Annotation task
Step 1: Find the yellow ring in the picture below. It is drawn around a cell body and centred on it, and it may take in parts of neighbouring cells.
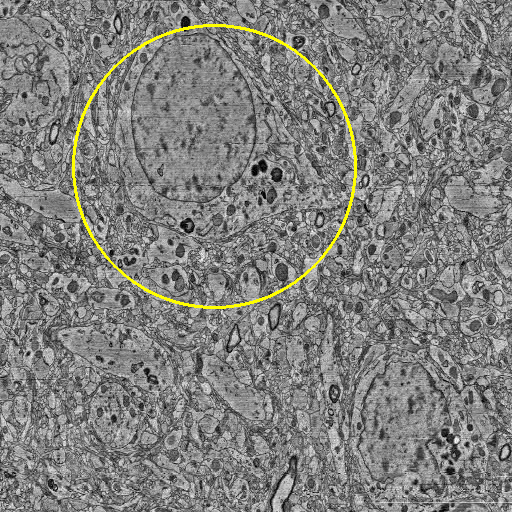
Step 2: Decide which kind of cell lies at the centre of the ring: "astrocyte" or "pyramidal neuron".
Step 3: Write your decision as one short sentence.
The kind of cell at the ring's centre is a pyramidal neuron.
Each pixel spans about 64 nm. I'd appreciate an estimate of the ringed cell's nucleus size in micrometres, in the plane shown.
In this plane the nucleus measures roughly 11 by 8 micrometers.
